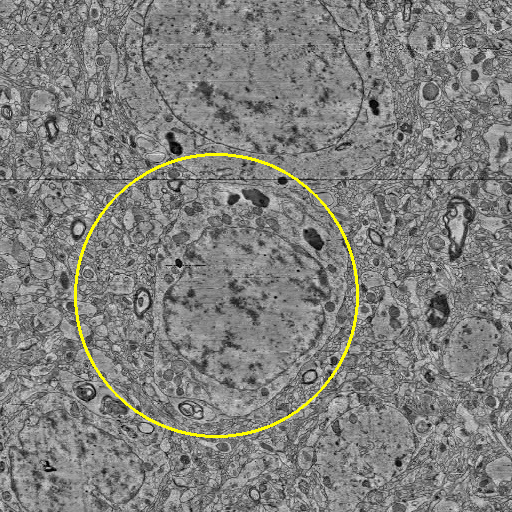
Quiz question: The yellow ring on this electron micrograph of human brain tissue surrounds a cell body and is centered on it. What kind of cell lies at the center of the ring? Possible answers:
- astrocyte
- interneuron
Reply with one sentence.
The ring's center lies on an interneuron.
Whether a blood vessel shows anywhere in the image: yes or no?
No, the picture includes no blood vessel.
